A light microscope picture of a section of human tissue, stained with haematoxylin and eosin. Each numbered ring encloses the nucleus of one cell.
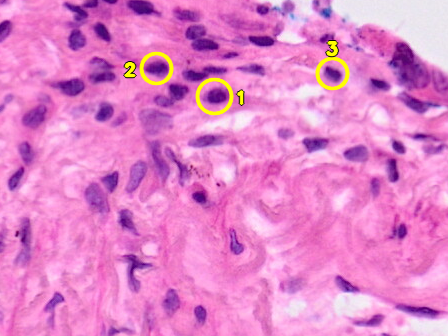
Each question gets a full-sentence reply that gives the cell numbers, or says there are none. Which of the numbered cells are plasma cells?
By cell type, the cells numbered 1 and 2 are plasma cells.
